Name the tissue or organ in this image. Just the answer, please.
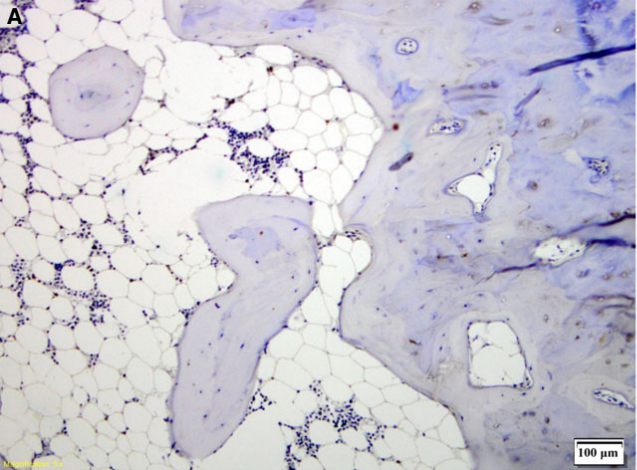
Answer: Trabecular bone.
